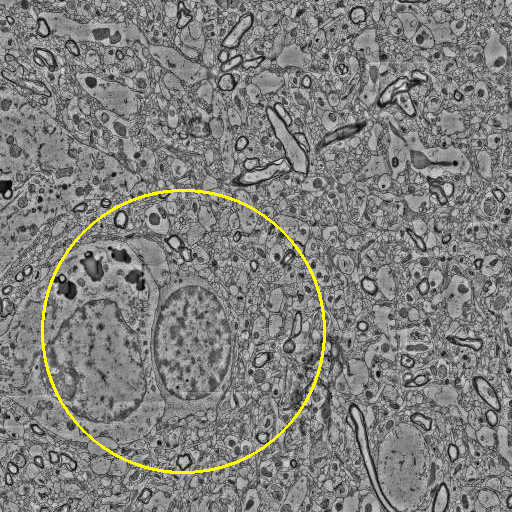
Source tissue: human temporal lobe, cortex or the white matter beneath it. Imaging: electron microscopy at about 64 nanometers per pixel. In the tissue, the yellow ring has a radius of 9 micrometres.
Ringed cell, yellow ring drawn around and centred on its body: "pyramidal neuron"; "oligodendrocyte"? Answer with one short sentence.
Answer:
This ringed cell is an oligodendrocyte.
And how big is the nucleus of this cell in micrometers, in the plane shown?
In this plane, the nucleus of the cell at the centre of the ring measures about 8 by 5 micrometres.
